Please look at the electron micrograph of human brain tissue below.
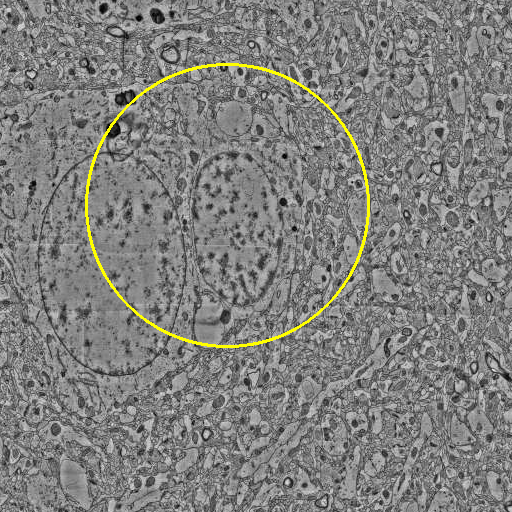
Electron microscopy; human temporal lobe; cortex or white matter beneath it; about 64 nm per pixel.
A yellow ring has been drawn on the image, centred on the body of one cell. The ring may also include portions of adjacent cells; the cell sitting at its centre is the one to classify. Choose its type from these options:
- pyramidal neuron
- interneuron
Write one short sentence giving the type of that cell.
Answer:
The cell in the middle of the ring is an interneuron.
